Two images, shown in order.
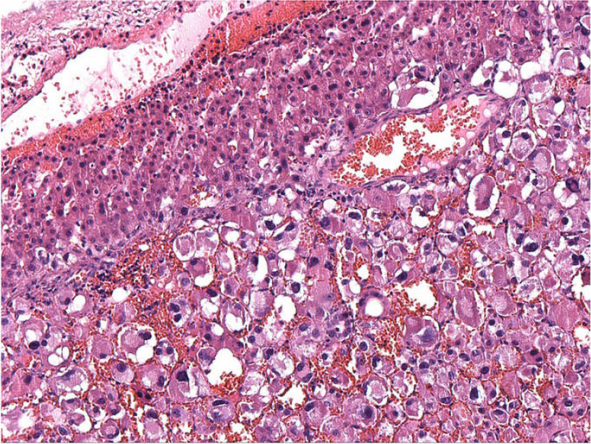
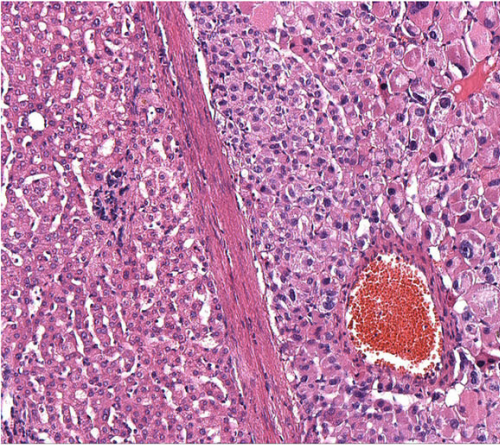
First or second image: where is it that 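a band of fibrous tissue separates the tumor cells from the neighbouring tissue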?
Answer: The second image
